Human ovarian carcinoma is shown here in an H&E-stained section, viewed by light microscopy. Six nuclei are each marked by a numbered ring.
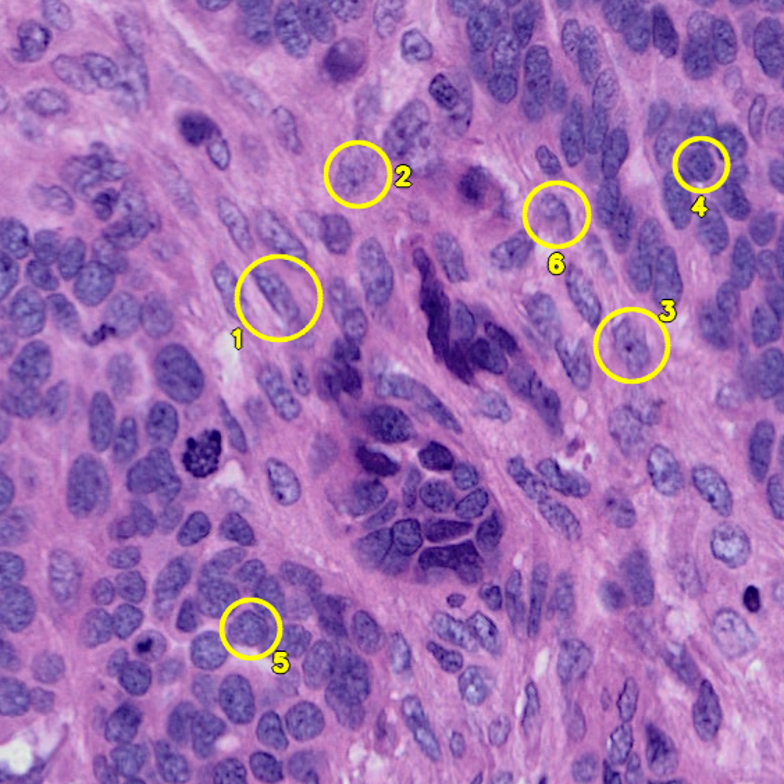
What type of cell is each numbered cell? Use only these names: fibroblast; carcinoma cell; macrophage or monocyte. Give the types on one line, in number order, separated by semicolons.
fibroblast; fibroblast; fibroblast; carcinoma cell; carcinoma cell; fibroblast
